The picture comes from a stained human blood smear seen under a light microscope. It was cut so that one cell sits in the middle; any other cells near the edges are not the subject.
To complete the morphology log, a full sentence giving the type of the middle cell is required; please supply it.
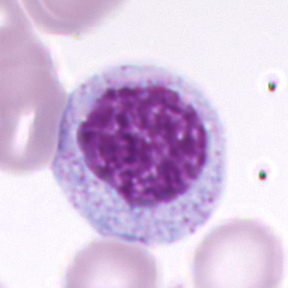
This particular crop is centered on a myelocyte.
